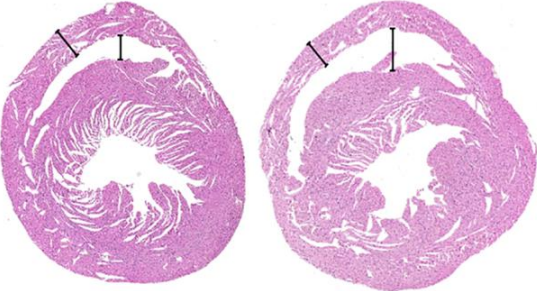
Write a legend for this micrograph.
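Two whole transverse sections of the heart are shown at low magnification, stained pink to purple throughout. Each has a thick muscular ventricular wall surrounding a central cavity whose inner surface is thrown into many fine trabeculae. In the upper part of each section a thinner wall and a narrow crescent-shaped cavity lie above the main chamber.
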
